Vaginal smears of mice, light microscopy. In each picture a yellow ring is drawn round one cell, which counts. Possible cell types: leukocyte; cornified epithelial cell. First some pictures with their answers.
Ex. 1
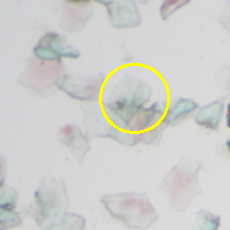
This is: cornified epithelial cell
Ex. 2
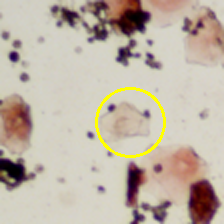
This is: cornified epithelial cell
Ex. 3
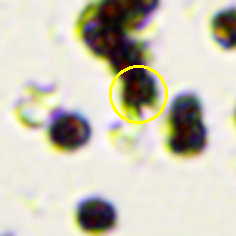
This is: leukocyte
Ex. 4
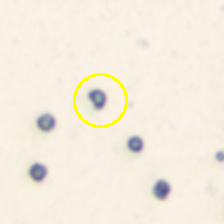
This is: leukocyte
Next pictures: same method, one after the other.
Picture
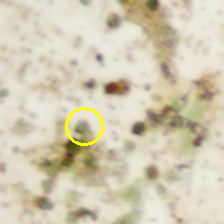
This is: leukocyte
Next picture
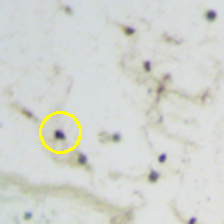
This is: leukocyte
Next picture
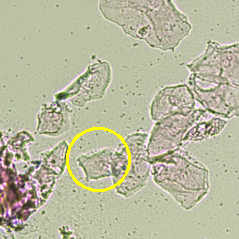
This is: cornified epithelial cell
